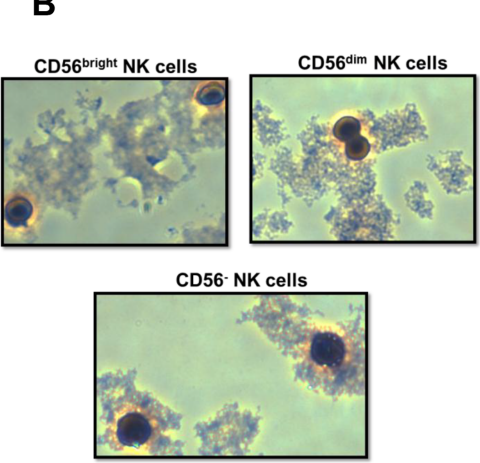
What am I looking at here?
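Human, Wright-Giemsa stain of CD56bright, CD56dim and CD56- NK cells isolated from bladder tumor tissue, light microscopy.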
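Only a thin rim of cytoplasm surrounds the nucleus, and the cell edge is bordered by a pale orange halo. The cells occur singly or in a pair, and in one field two cells touch side by side.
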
